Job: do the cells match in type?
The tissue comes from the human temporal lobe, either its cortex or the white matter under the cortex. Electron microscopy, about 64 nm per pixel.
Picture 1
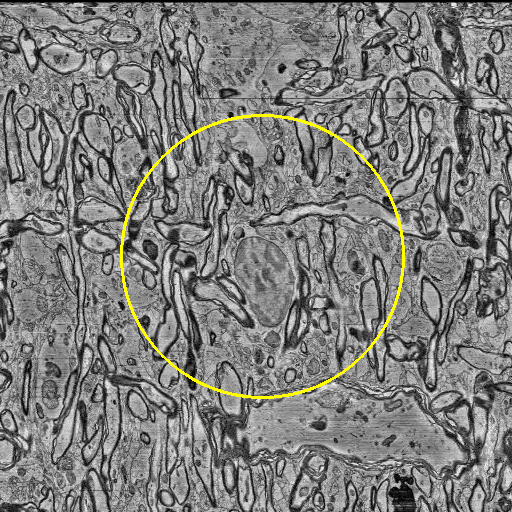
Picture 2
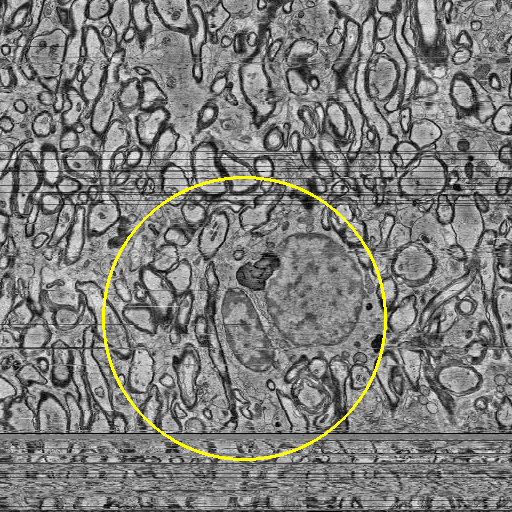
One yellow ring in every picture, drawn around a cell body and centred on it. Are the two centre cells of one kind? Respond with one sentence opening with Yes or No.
Yes, the ringed cells in the two pictures are of one and the same kind.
